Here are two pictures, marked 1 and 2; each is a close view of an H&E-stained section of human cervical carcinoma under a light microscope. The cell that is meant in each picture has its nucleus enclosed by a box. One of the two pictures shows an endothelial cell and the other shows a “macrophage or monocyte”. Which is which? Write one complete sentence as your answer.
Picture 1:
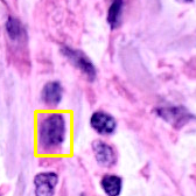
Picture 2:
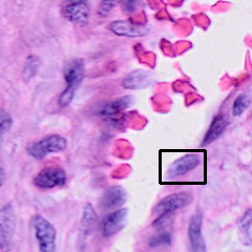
The cell in picture 1 is a “macrophage or monocyte”, and the one in picture 2 is an endothelial cell.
